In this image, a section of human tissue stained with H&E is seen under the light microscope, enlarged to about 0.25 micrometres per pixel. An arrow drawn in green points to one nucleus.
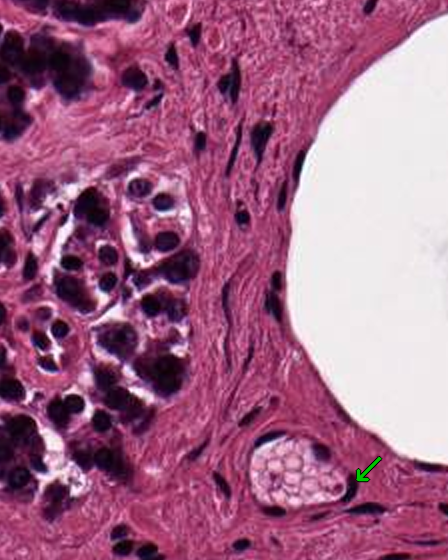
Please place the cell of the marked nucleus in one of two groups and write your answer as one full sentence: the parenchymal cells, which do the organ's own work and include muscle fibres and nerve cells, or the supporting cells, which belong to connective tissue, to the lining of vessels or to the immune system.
Belonging to a supporting cell is the nucleus that is marked.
